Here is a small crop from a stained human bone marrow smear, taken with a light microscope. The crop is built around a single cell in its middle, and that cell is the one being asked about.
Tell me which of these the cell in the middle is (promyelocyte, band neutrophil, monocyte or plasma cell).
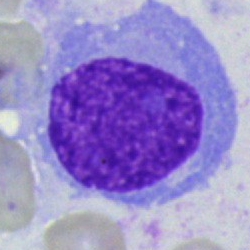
monocyte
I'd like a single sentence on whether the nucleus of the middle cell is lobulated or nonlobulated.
A single compact nucleus, round, oval or kidney-shaped, is what this cell shows.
